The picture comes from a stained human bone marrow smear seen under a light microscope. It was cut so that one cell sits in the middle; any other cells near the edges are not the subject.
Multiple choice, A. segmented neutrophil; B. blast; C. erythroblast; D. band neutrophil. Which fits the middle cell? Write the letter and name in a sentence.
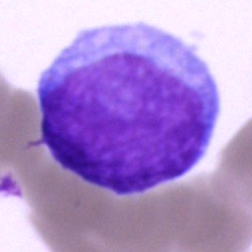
In the centre of the crop there is a blast, making option B correct.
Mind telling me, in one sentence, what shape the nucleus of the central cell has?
If you check the nucleus, you will find one compact mass, round, oval or kidney-shaped.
